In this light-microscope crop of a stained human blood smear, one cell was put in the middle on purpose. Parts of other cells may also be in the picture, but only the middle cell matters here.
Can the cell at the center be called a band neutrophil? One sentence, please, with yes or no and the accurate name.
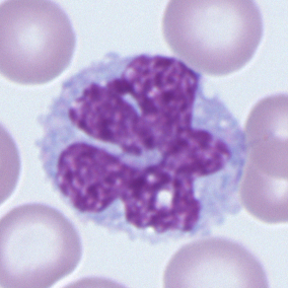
No, this is not a band neutrophil at all; the cell in the middle is a monocyte.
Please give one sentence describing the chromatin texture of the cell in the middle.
Answer: the chromatin in this nucleus is coarsely clumped.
